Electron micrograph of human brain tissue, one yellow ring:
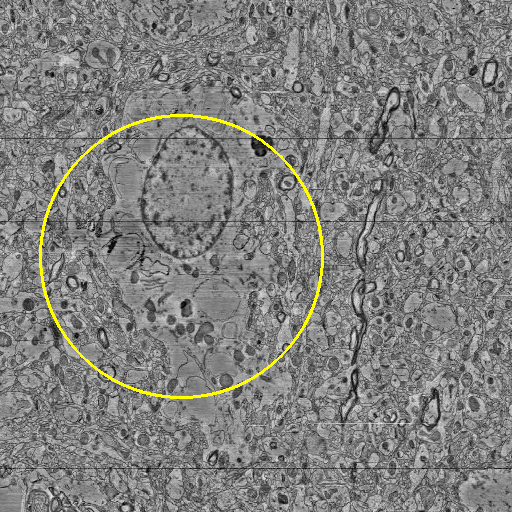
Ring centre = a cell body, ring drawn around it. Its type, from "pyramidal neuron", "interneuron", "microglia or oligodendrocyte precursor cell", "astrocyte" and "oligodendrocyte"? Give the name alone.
astrocyte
